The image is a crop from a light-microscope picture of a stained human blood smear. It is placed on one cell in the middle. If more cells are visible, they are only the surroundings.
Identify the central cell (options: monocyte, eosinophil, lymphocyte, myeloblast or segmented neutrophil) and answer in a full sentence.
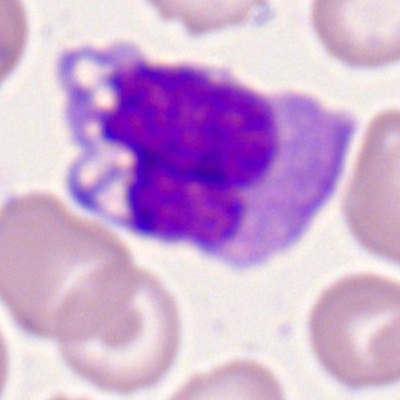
To answer, the cell in the center of the crop is a monocyte.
